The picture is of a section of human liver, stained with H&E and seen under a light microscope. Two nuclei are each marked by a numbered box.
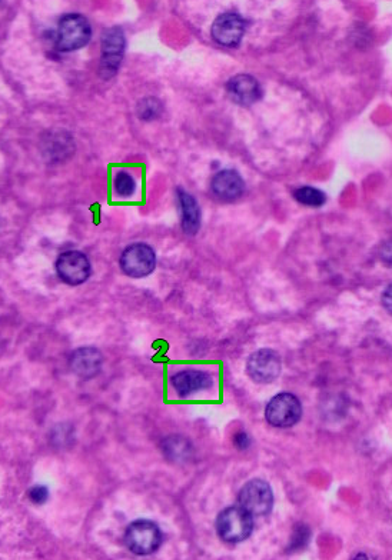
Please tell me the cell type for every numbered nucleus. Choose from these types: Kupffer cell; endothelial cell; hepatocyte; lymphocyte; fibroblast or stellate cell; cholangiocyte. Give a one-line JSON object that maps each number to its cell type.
{"1": "lymphocyte", "2": "endothelial cell"}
